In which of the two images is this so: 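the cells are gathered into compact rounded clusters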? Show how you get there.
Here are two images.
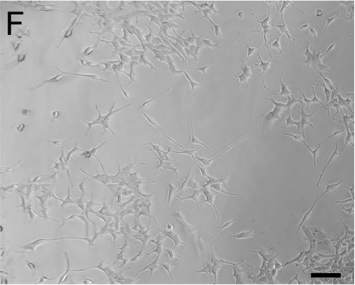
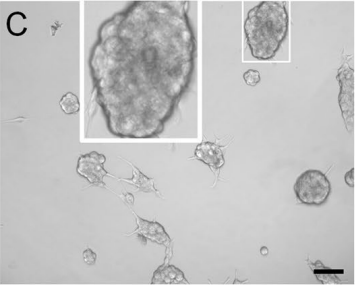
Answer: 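First image: cells are flat and spread, with long branching processes forming a loose network.
Conclusion: the second image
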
